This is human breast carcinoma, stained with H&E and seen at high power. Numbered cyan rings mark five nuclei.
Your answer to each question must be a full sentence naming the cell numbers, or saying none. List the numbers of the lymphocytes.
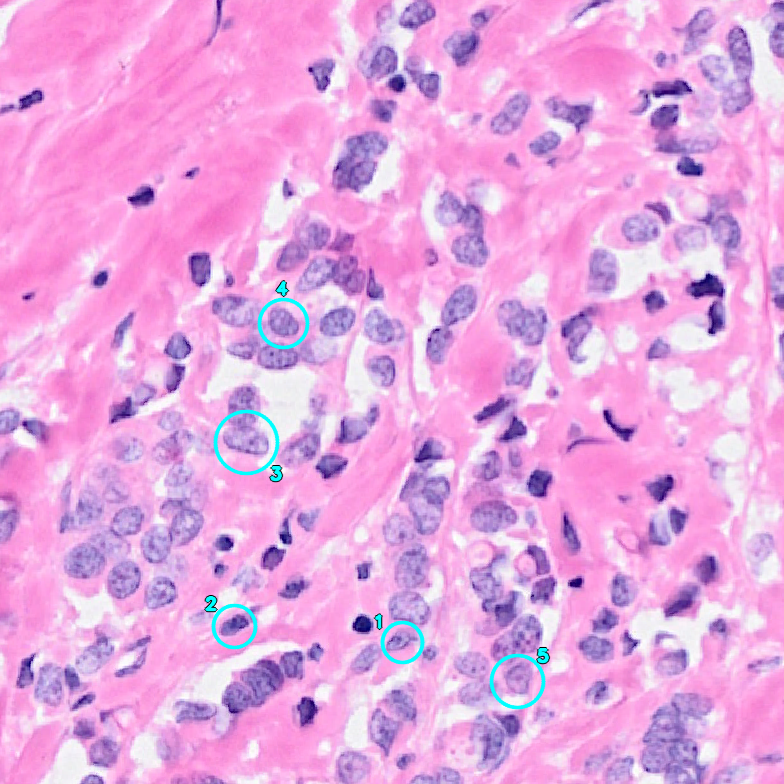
In contrast to the remaining marked cells, cell 2 is a lymphocyte.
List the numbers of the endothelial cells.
Cell 1 is an endothelial cell, and that holds for no other numbered cell.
